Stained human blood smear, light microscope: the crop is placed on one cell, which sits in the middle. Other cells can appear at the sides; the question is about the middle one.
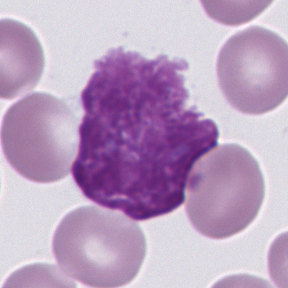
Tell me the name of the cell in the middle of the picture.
smudge cell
